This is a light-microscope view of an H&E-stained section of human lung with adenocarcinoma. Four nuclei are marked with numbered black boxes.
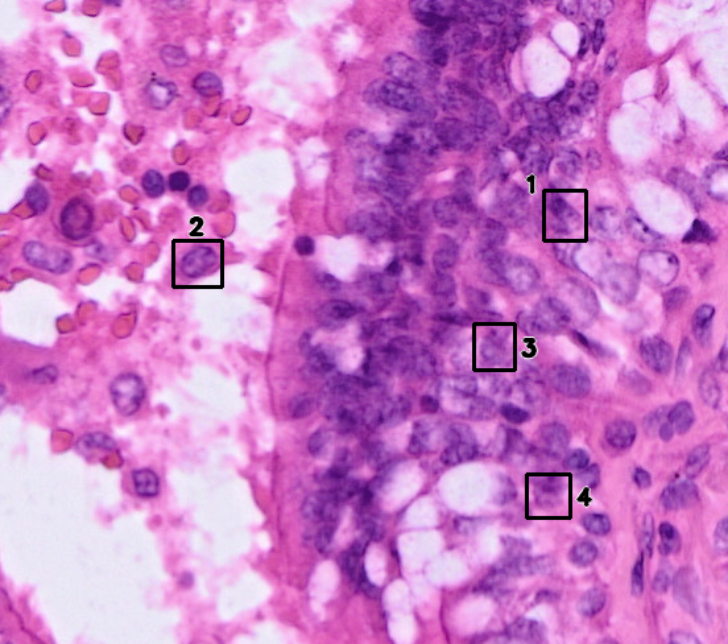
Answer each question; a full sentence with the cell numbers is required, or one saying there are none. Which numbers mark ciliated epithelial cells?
Cells 1, 3 and 4 are of one type, namely ciliated epithelial cells.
